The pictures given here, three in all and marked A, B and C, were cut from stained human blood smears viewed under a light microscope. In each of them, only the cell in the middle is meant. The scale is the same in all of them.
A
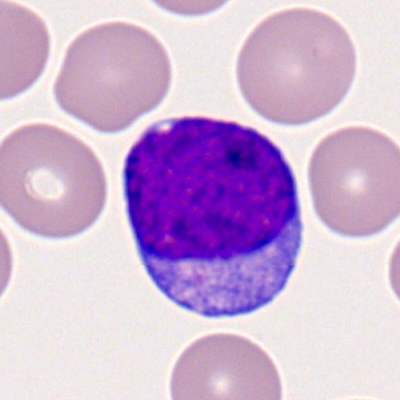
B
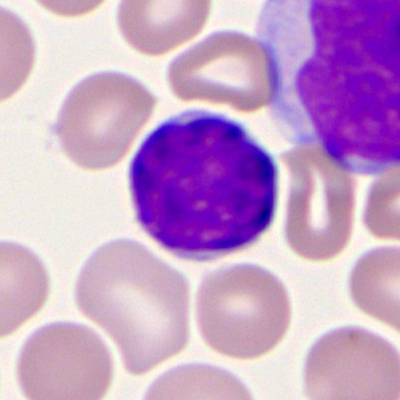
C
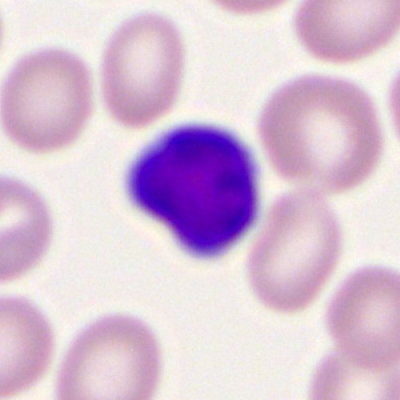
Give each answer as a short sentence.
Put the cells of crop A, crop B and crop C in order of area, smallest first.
The order is C, B, A, beginning with the smallest.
